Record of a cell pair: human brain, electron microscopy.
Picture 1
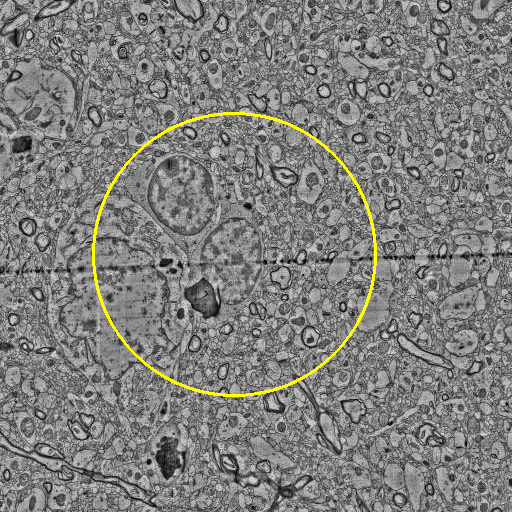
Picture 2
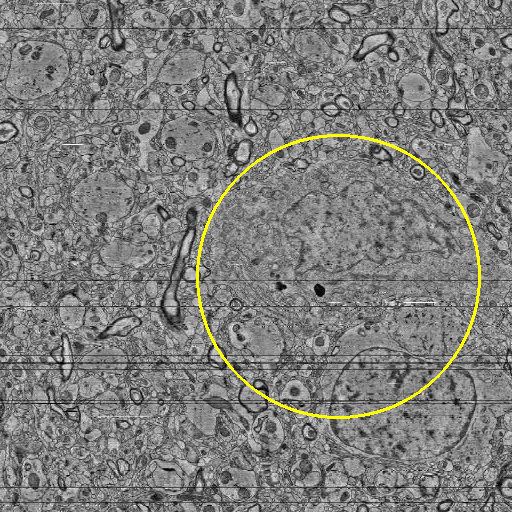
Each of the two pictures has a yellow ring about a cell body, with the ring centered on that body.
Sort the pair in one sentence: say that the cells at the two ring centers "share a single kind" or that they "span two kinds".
The cells centered in the rings of Pictures 1 and 2 span two kinds.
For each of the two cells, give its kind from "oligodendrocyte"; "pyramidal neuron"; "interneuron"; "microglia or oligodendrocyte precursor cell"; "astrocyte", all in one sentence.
The first picture has an oligodendrocyte in its ring, the second has an interneuron.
